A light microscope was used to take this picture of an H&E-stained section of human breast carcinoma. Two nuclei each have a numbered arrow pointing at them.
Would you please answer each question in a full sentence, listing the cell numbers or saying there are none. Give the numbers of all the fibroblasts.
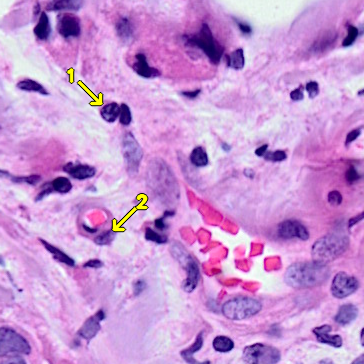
Zero of the numbered cells are fibroblasts.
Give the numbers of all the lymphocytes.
Only one of the numbered nuclei, number 1, belongs to a lymphocyte.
